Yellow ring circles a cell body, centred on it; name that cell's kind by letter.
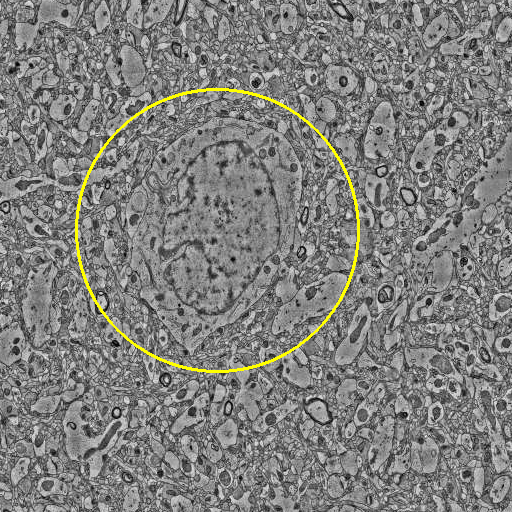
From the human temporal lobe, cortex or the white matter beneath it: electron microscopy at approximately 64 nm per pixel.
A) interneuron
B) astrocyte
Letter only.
A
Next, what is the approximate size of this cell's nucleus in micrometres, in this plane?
In this plane the nucleus is about 11 micrometres by 8.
